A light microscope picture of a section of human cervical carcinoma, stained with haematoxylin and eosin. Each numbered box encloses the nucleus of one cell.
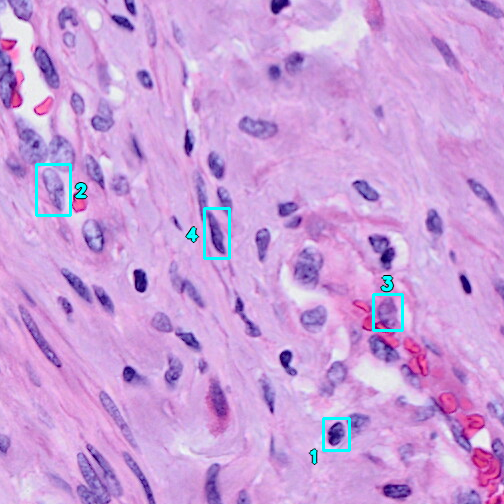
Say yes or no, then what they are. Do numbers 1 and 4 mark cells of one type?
No, cell 1 is a lymphocyte, and as for cell 4, it is a fibroblast.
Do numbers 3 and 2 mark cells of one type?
Yes, in the case of cells 3 and 2, both are endothelial cells.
